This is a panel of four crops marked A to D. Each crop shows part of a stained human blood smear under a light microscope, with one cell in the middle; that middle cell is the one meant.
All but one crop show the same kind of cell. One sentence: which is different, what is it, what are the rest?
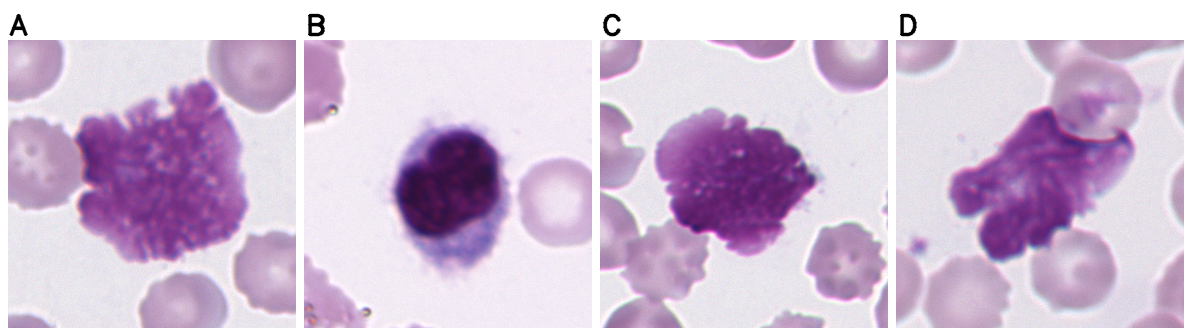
Crop B alone shows a hairy cell; the other crops are all smudge cells.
